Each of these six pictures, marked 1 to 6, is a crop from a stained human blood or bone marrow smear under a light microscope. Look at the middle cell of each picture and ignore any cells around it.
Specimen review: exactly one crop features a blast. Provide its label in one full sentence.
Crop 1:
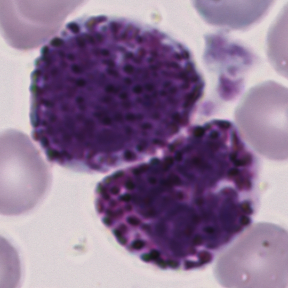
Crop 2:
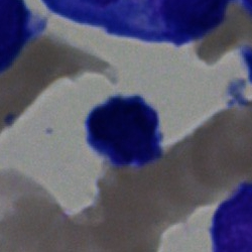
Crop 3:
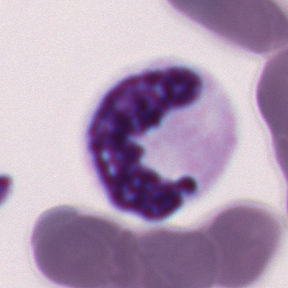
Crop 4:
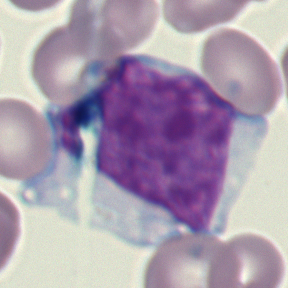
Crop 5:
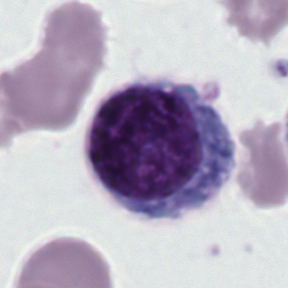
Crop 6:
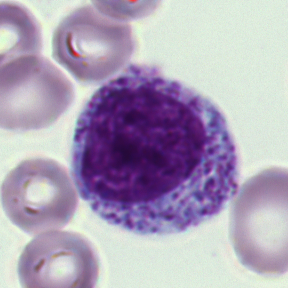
Crop 4 is where a blast is to be found.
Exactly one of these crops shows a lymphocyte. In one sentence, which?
Crop 2 is the one in this set that shows a lymphocyte.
